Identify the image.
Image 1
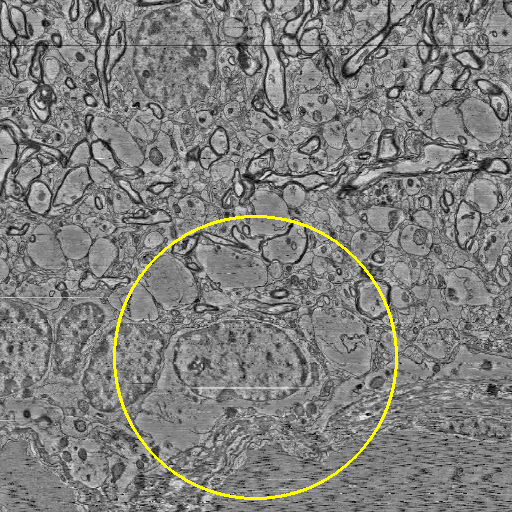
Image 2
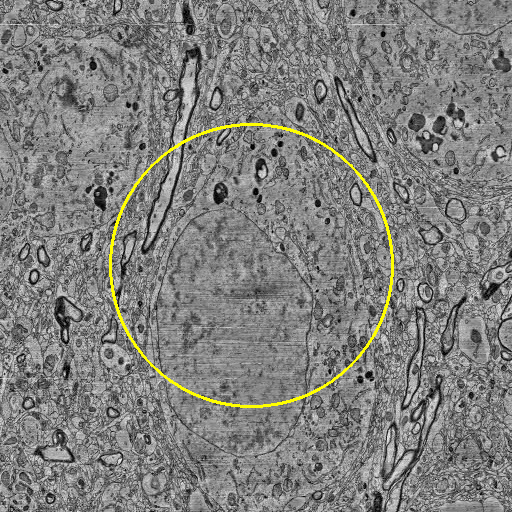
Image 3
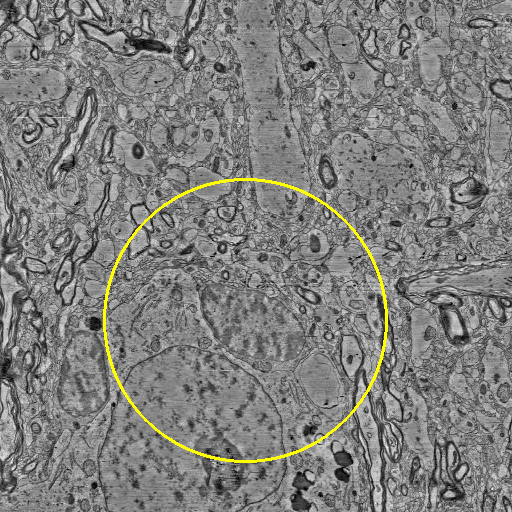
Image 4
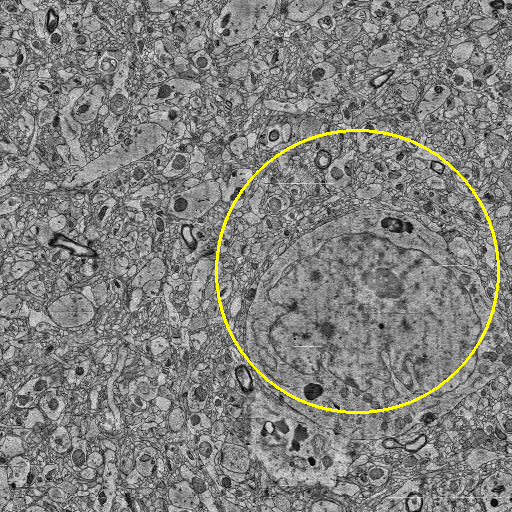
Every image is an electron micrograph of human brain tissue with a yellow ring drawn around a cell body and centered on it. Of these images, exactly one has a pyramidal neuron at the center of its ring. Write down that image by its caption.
Image 2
